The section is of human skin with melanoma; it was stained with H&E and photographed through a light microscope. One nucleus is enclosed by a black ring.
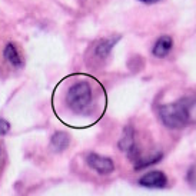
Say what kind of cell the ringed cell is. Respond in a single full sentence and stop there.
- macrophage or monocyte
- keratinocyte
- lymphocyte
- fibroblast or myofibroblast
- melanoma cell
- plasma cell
Placed in its cell category, the ringed cell is a macrophage or monocyte.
